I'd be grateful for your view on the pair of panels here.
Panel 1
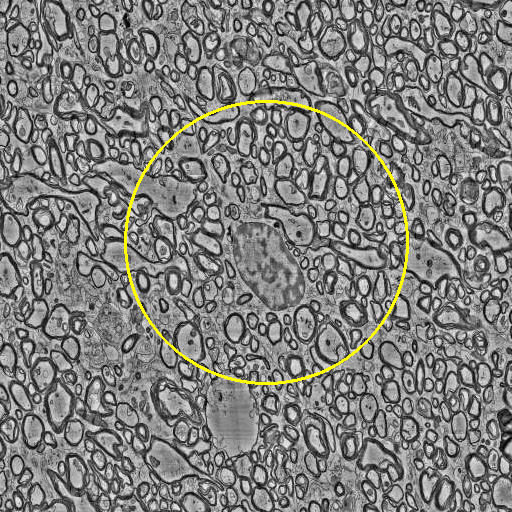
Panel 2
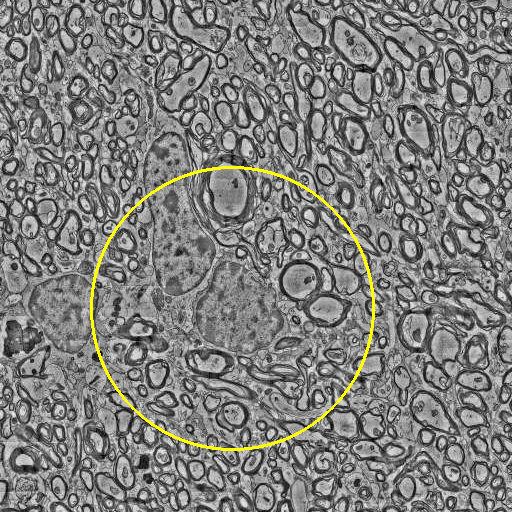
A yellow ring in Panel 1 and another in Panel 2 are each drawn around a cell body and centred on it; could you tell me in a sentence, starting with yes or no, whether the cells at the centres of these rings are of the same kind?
No, they are two kinds of cell.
